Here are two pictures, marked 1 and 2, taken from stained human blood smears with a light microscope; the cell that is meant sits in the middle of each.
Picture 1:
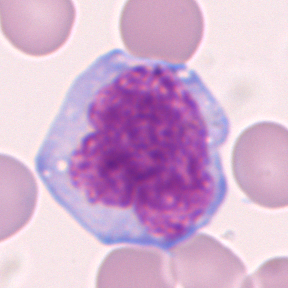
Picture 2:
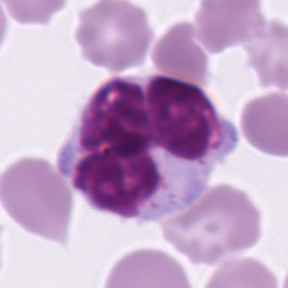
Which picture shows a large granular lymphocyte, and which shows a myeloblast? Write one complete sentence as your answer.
Picture 2 shows a large granular lymphocyte, while picture 1 shows a myeloblast.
